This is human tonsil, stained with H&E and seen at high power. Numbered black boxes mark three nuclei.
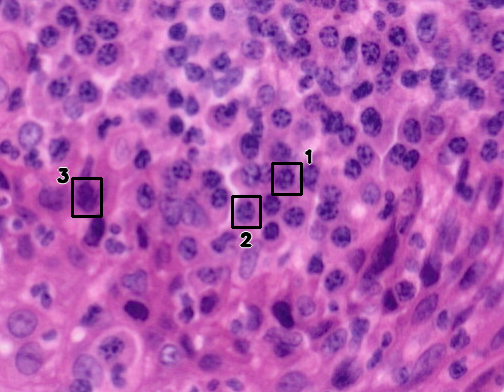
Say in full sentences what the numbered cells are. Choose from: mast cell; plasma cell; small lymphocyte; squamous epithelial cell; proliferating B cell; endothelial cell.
Cells 1 and 2 are plasma cells. Cell 3 is a squamous epithelial cell.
